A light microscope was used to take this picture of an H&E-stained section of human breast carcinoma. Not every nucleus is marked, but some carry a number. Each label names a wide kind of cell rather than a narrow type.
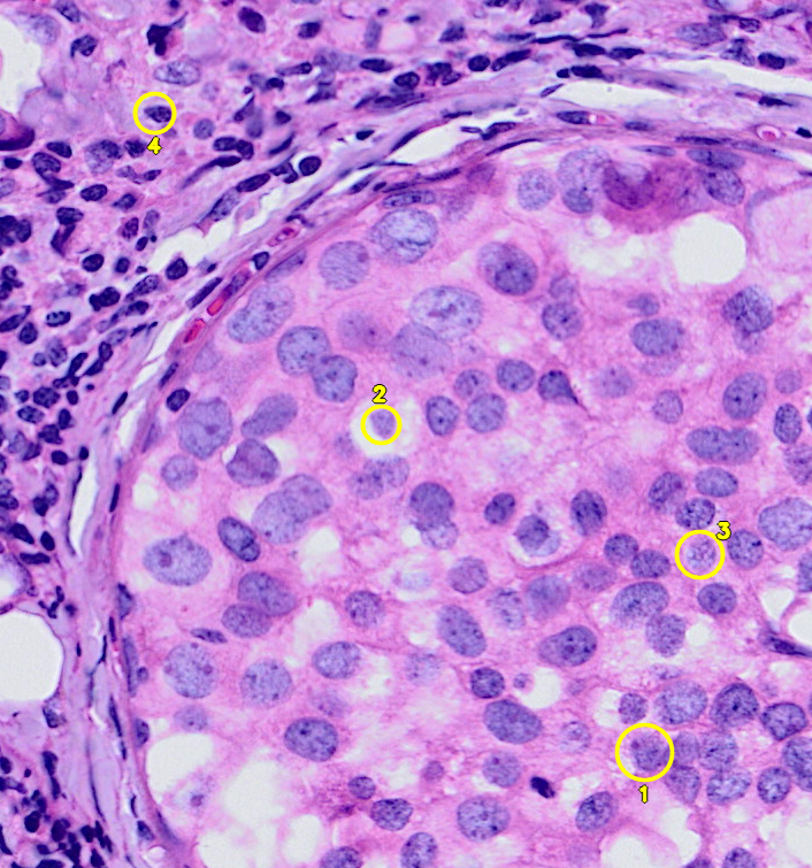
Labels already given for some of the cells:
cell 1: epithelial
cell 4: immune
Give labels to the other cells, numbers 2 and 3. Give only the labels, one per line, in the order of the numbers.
epithelial
epithelial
